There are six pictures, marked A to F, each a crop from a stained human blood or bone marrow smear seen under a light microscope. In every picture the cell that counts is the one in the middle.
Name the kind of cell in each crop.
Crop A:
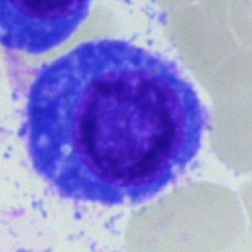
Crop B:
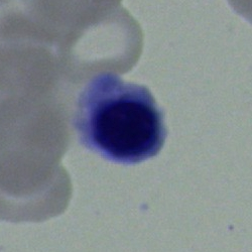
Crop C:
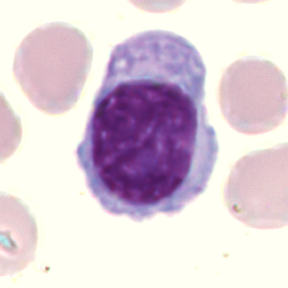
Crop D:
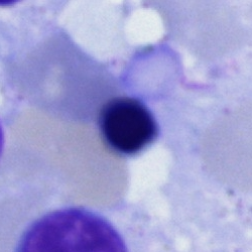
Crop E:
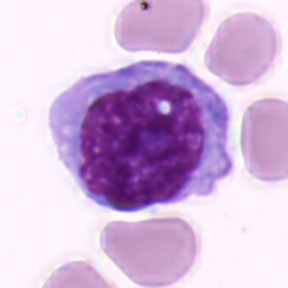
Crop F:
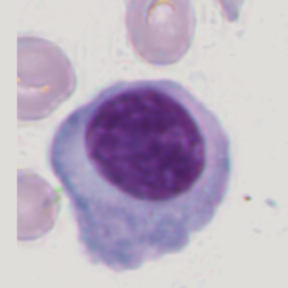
A: plasma cell
B: erythroblast
C: plasma cell
D: erythroblast
E: plasma cell
F: plasma cell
